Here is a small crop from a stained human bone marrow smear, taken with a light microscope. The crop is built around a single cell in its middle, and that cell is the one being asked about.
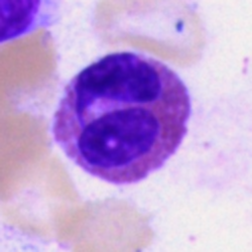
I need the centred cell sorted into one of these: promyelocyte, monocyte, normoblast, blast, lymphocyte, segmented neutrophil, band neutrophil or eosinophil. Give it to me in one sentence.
The cell in the middle of this crop is an eosinophil.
